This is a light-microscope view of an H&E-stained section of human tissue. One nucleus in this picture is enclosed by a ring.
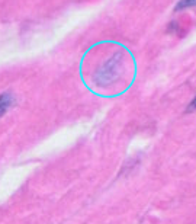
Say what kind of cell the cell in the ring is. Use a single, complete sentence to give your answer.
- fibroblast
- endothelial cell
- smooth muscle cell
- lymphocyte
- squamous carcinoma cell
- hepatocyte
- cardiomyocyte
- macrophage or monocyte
Within this tissue, the cell in the ring is a cardiomyocyte.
